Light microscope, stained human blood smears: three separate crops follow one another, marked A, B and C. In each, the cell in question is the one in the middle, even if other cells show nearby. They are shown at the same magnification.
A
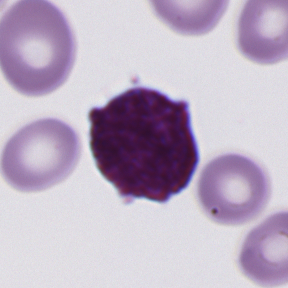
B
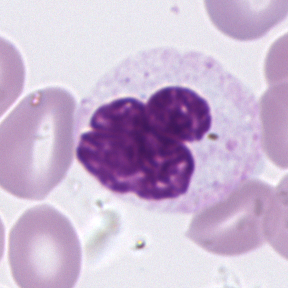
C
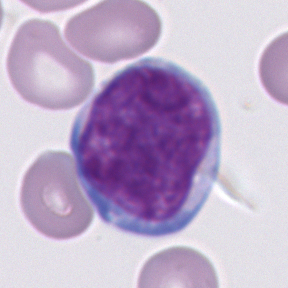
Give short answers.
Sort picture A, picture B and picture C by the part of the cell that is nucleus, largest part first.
A, C, B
